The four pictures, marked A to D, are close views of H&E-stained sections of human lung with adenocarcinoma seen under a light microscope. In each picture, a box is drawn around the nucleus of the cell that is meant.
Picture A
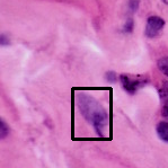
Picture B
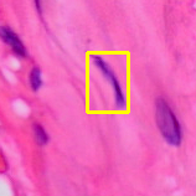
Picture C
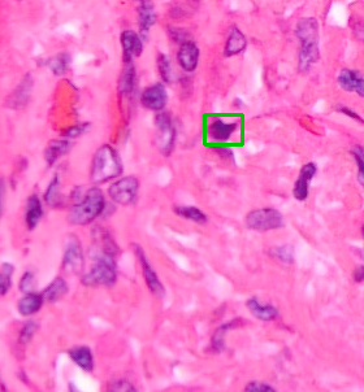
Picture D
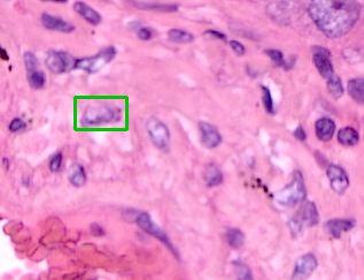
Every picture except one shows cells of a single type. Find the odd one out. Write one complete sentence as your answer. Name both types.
Unlike the rest, which show fibroblasts, picture C shows a plasma cell.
